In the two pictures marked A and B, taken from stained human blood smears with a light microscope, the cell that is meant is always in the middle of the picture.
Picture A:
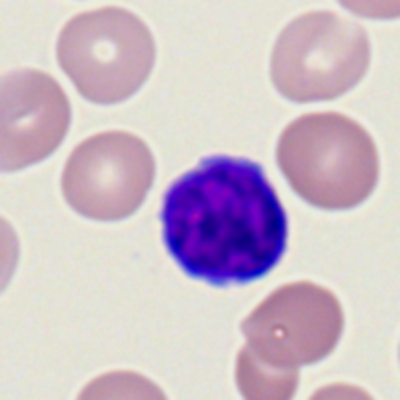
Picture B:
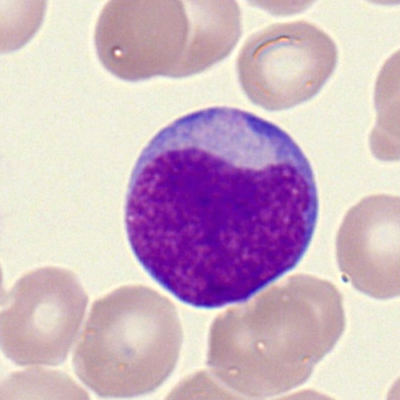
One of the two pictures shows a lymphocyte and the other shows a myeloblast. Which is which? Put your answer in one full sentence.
In picture A the cell is a lymphocyte; in picture B, a myeloblast.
